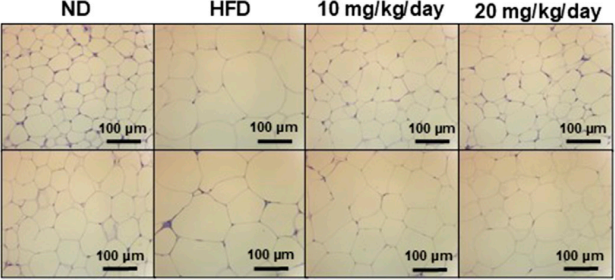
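This grid of sections of white adipose tissue is made of adipocytes packed together like a honeycomb. Each cell is a rounded to polygonal space that looks pale and nearly empty, where the single large lipid droplet was. Only a thin pink to purple rim of cytoplasm and membrane separates one cell from the next. Small, dark purple, flattened nuclei are pressed against the edges of some cells, and a few small cells sit in the angles between larger ones. Cell size differs clearly between the images. In some images the cells are small and many, while in others a few very large cells fill the field.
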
